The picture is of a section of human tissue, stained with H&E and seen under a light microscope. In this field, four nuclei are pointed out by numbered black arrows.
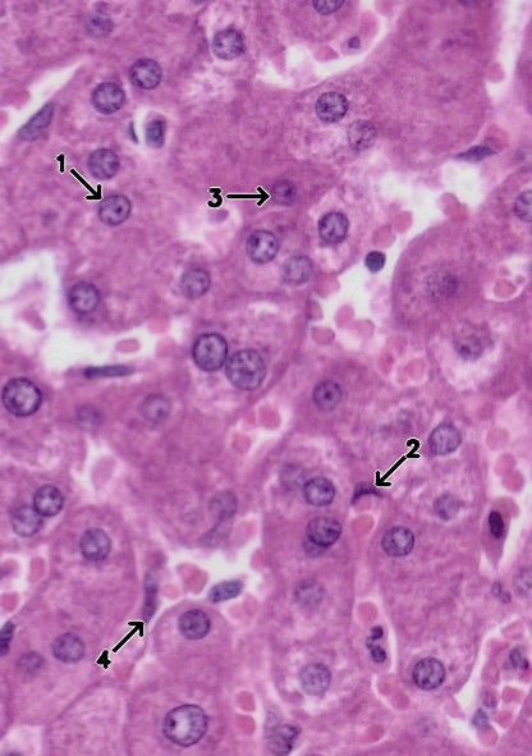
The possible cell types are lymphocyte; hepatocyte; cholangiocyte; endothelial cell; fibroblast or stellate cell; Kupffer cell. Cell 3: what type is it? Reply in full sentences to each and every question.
Cell 3, as marked in the section, is a hepatocyte.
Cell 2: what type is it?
Cell 2 in the field of view is an endothelial cell.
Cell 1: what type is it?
The nucleus with number 1 is that of a hepatocyte.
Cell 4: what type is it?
The one labeled 4 is a Kupffer cell, to put it simply.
